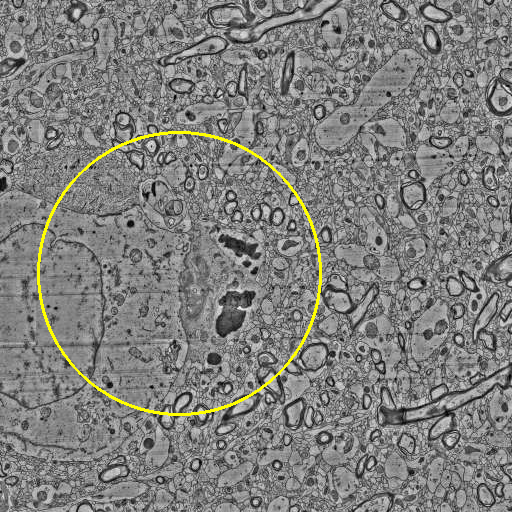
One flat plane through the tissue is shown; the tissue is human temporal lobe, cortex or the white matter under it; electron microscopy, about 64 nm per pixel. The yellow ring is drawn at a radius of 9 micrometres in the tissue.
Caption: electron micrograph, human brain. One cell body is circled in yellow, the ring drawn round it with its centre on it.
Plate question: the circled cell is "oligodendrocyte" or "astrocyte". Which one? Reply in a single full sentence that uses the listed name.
The yellow ring on the plate is centred on an oligodendrocyte, going by the listed names.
